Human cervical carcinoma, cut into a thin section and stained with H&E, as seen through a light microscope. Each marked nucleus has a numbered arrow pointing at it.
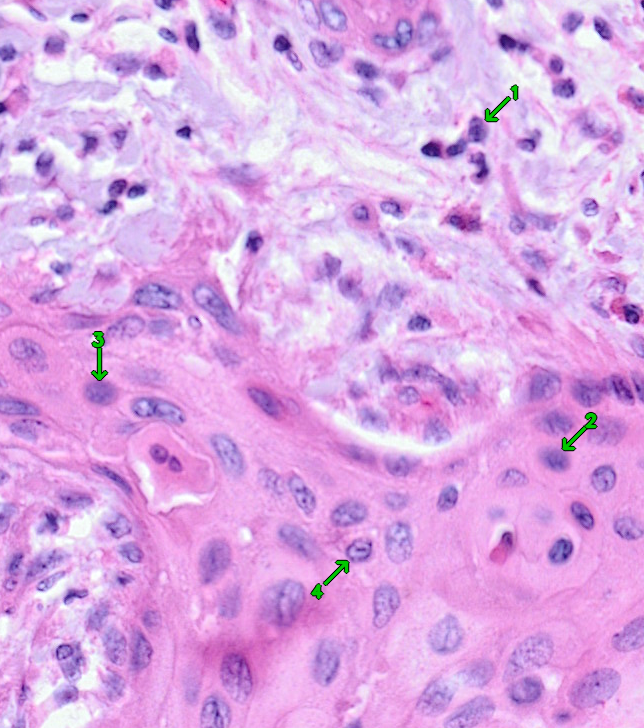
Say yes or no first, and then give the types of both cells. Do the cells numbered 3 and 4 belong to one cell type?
Yes, both are squamous carcinoma cells.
